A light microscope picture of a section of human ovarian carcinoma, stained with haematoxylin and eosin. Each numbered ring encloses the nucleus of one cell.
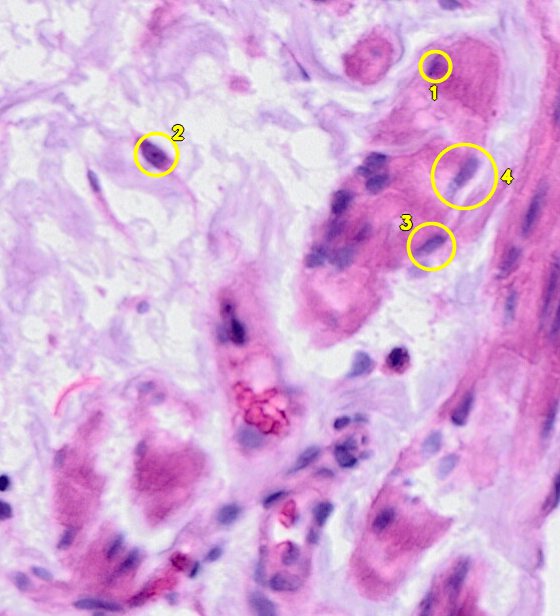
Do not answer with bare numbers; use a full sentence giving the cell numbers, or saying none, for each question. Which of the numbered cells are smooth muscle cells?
The cells the numbers 1, 3 and 4 point to are smooth muscle cells.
